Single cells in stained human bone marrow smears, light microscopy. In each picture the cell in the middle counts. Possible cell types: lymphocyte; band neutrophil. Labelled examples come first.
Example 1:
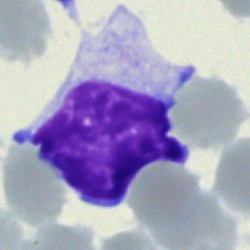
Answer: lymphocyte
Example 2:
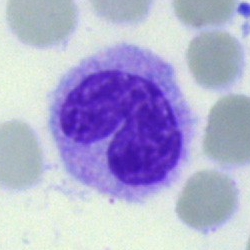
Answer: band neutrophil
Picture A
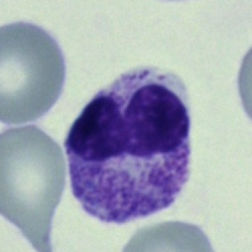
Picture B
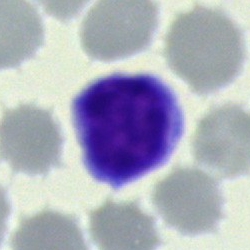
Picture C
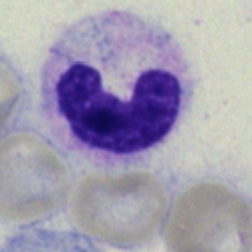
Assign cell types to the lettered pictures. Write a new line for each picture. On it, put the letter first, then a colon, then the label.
A: band neutrophil
B: lymphocyte
C: band neutrophil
